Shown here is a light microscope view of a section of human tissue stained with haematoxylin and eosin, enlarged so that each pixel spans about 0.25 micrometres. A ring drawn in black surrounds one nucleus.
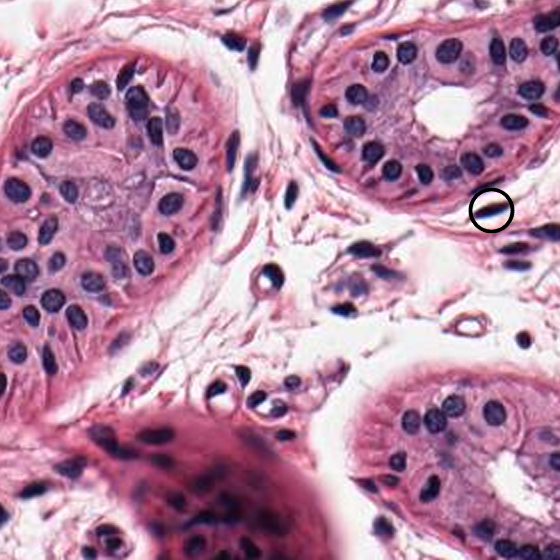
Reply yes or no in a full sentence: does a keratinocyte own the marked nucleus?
No, a keratinocyte does not own the marked nucleus, which belongs to a supporting cell.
